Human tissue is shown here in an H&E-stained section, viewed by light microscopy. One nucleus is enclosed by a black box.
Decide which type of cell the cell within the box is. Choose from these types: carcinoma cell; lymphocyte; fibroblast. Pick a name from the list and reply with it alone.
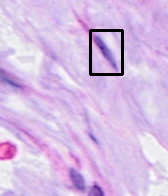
fibroblast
